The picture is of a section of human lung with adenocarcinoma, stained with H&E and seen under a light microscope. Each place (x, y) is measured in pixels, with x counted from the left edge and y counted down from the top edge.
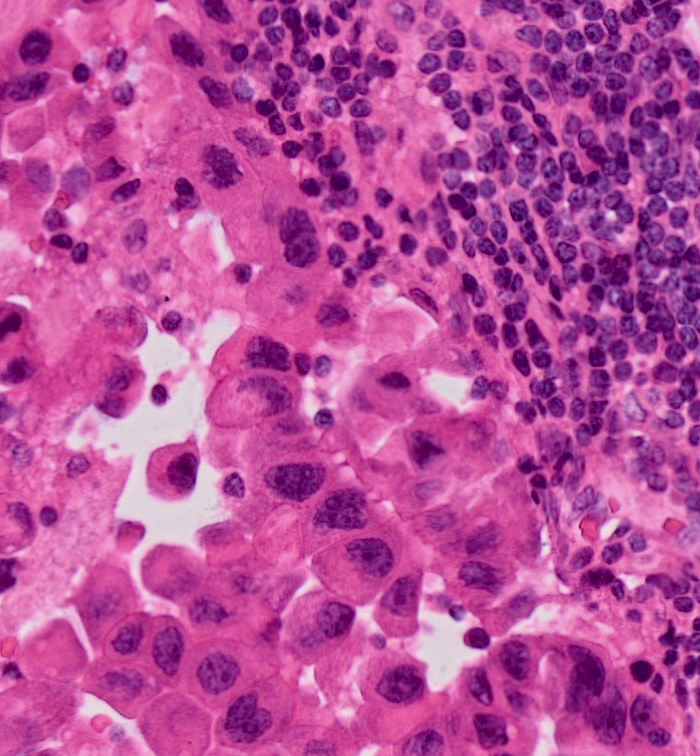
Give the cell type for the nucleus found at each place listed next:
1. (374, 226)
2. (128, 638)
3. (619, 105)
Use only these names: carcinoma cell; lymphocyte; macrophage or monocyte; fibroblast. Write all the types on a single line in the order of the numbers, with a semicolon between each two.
lymphocyte; carcinoma cell; lymphocyte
